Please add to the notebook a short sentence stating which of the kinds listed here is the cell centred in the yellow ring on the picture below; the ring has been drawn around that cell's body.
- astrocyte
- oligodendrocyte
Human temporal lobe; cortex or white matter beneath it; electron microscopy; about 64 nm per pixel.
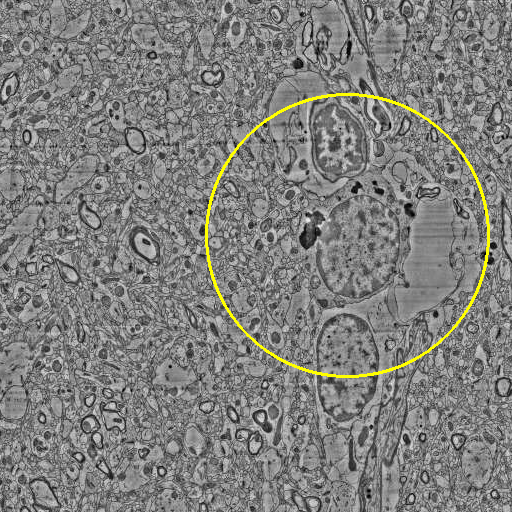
The cell centred in the yellow ring is an oligodendrocyte.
